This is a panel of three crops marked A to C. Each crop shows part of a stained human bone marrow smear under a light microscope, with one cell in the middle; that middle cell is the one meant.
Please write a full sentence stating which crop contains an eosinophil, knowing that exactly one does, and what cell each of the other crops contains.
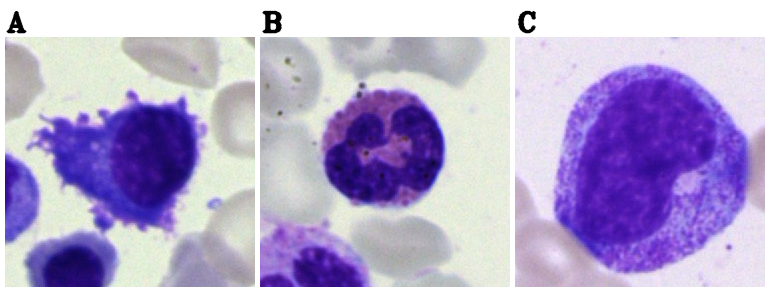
Among these crops, crop B shows an eosinophil, while crop A is a plasma cell and crop C is a promyelocyte.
